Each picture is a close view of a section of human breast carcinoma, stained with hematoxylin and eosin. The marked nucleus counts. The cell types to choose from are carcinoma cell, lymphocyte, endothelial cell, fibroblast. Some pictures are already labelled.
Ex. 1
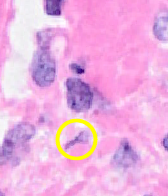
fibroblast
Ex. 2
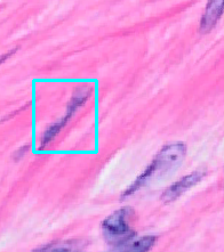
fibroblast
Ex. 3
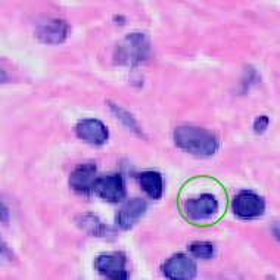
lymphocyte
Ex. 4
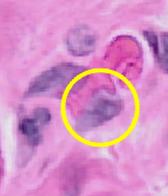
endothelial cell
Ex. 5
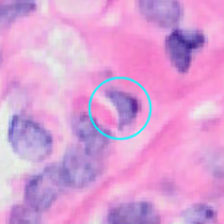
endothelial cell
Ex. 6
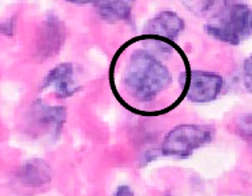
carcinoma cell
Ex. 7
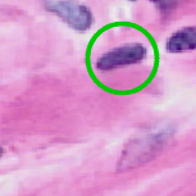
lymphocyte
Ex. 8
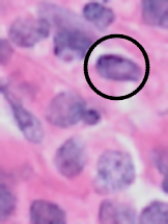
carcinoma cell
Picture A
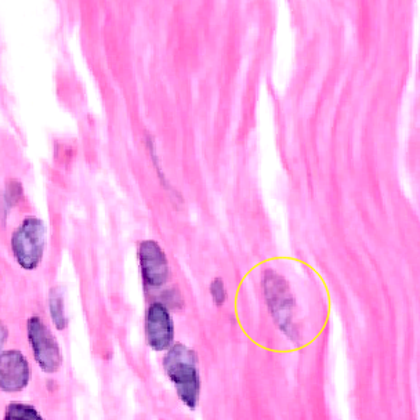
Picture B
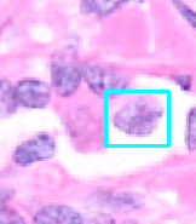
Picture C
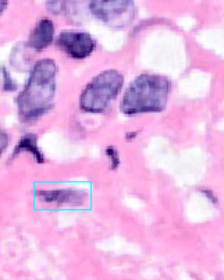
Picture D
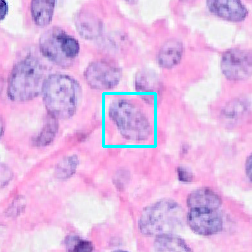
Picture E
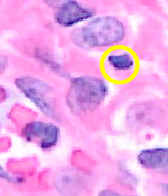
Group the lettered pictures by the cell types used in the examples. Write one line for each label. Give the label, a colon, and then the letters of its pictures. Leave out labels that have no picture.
carcinoma cell: B, D
lymphocyte: E
fibroblast: A, C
